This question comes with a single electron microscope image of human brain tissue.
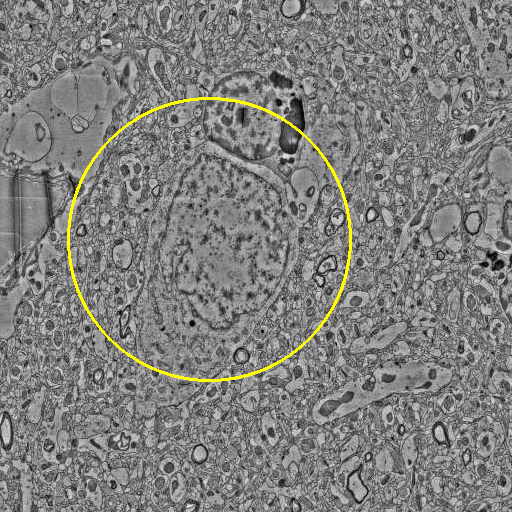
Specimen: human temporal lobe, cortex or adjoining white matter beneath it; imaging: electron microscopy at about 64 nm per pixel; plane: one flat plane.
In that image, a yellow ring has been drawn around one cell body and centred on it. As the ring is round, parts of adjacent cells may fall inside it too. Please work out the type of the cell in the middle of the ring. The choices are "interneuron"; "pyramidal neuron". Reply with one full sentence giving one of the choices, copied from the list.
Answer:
Of the choices, an interneuron is the cell sitting in the middle of the ring.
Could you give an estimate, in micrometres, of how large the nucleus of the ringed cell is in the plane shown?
Roughly 11 by 8 micrometres is the size of the nucleus in this plane.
